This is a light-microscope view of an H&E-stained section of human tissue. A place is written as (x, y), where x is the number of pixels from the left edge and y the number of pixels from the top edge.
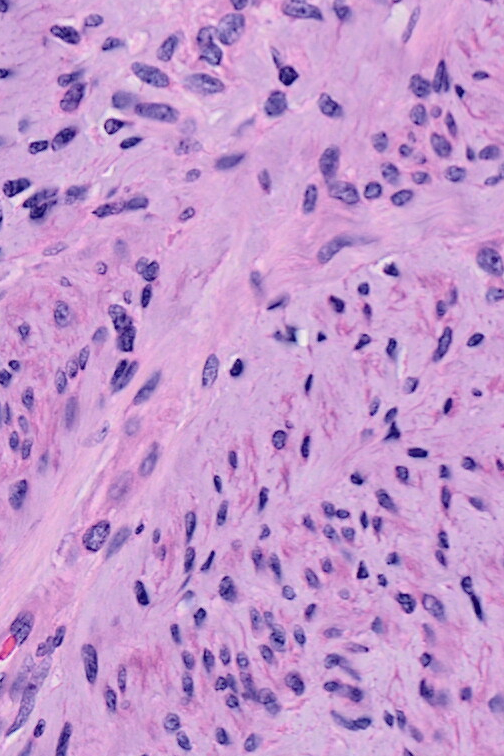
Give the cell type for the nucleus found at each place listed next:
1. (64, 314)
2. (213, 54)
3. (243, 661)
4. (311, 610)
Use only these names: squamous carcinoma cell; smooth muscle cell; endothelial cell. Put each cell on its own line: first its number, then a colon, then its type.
1: smooth muscle cell
2: endothelial cell
3: smooth muscle cell
4: smooth muscle cell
